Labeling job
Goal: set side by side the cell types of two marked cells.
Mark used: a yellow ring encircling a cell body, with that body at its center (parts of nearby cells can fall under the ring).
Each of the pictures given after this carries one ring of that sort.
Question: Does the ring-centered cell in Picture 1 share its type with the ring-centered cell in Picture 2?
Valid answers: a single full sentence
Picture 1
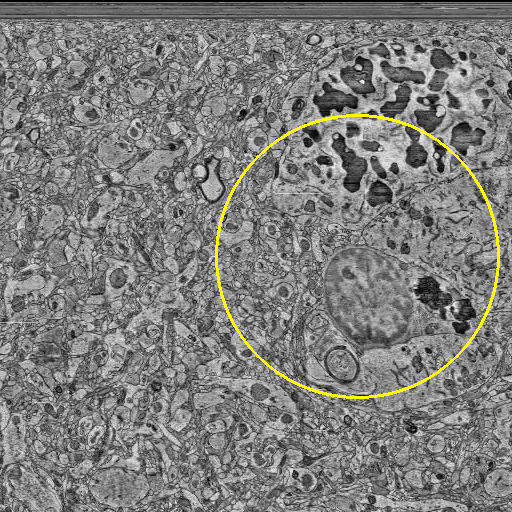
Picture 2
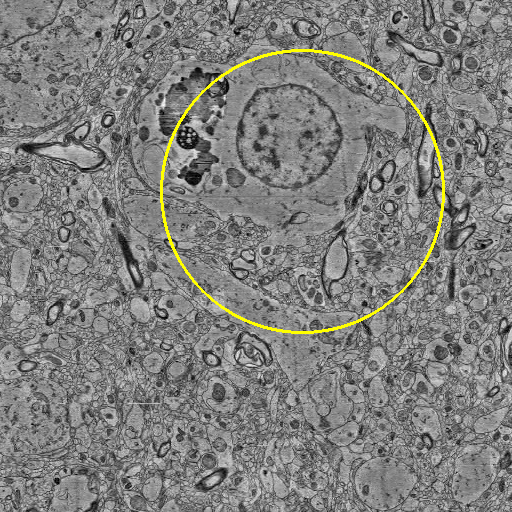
No, in Pictures 1 and 2 the cells at the ring centers have separate types.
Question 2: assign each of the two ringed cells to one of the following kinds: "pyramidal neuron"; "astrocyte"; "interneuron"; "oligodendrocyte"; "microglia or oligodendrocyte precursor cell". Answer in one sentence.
The two cells are an oligodendrocyte in the first picture and an astrocyte in the second.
